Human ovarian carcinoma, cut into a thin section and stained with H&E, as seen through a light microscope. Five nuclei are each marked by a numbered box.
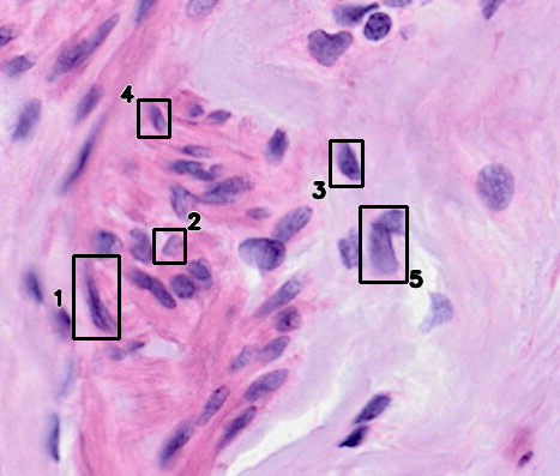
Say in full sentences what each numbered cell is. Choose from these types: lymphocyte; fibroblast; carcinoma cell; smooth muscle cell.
Cells 1, 2 and 4 are smooth muscle cells. Cells 3 and 5 are fibroblasts.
